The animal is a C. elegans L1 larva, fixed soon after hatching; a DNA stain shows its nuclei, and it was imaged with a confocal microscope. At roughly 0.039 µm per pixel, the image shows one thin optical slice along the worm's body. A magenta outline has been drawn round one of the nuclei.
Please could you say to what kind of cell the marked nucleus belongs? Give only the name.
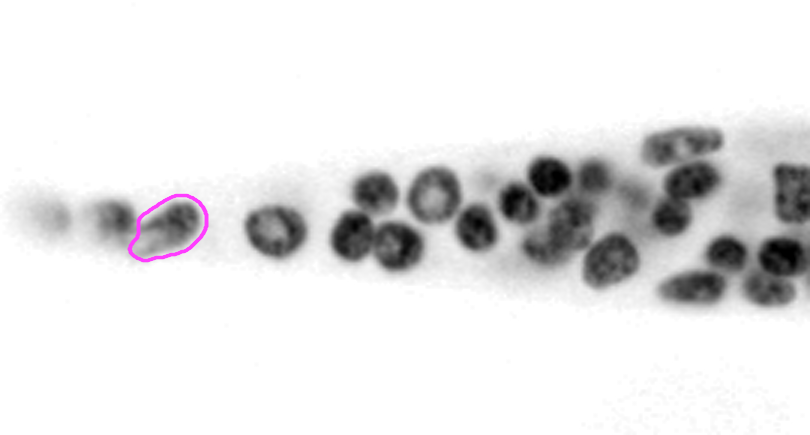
hypodermal cell (hyp)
